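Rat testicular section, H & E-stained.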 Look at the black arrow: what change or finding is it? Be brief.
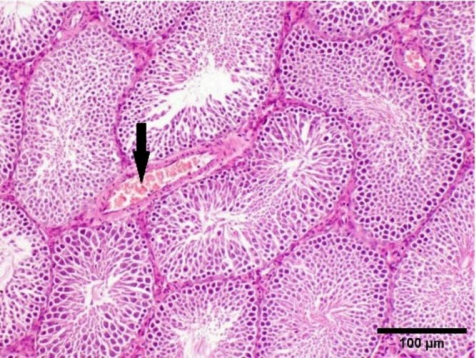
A: Congestion of interstitial blood vessel.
